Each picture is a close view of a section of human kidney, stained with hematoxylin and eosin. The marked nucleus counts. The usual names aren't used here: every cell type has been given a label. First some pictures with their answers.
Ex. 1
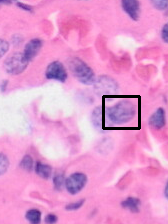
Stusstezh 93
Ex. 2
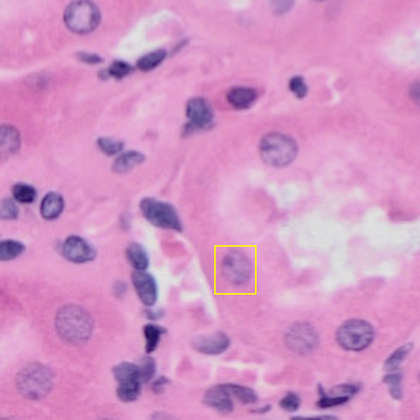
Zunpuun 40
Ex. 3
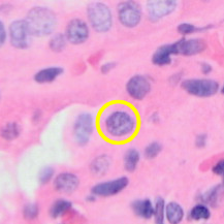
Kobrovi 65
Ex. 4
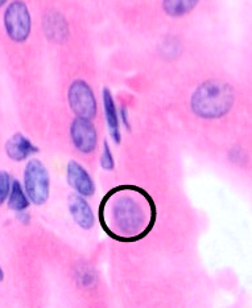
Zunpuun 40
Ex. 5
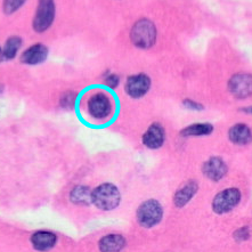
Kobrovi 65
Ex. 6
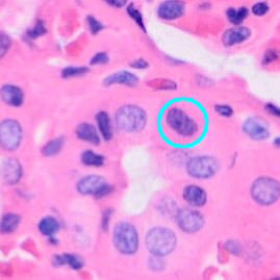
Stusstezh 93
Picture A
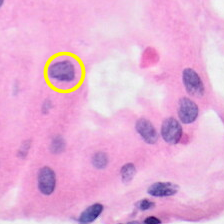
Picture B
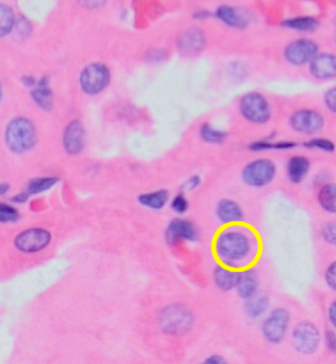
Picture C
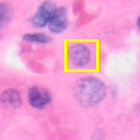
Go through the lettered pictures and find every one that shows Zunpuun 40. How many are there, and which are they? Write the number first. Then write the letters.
1, namely A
